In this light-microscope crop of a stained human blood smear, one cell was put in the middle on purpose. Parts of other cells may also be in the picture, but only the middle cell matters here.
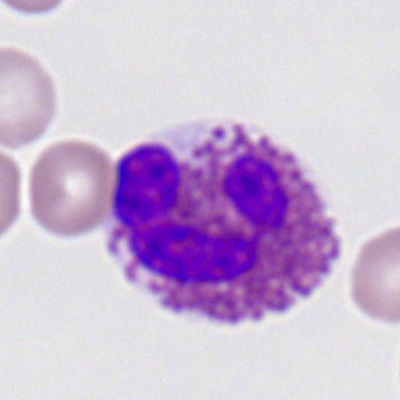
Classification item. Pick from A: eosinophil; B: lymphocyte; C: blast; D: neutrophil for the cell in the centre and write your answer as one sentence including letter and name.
The cell at the heart of the crop is an eosinophil, so choose option A.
